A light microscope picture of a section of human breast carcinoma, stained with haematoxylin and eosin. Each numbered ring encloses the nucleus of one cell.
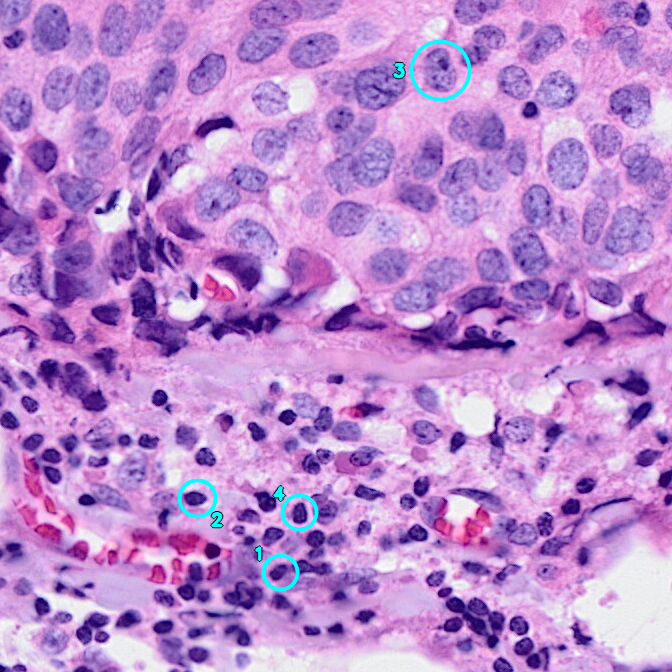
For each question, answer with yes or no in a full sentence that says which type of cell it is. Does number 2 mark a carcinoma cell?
No, number 2 does not mark a carcinoma cell; it marks a lymphocyte.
